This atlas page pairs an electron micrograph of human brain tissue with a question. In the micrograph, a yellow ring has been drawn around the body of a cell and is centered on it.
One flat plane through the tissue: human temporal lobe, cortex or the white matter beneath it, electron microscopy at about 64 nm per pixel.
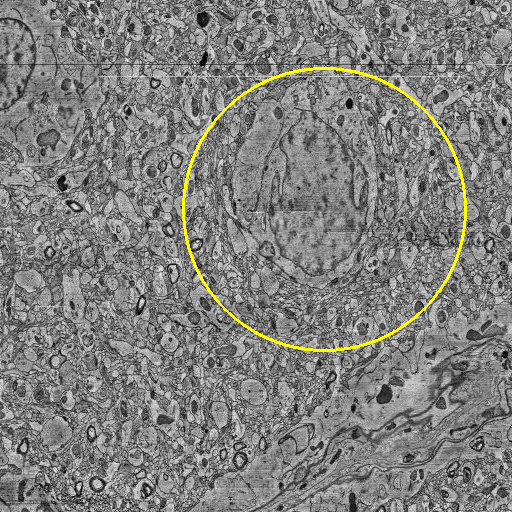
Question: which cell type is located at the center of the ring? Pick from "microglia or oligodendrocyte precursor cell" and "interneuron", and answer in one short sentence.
Located at the center of the ring is an interneuron.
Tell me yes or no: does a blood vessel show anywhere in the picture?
Yes, one appears.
